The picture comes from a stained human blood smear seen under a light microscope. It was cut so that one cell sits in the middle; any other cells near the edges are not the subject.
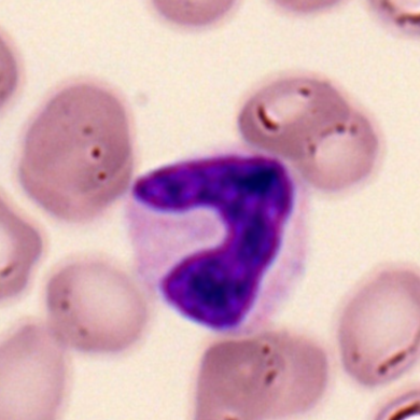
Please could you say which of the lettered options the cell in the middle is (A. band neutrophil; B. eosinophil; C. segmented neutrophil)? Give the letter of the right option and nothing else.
A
